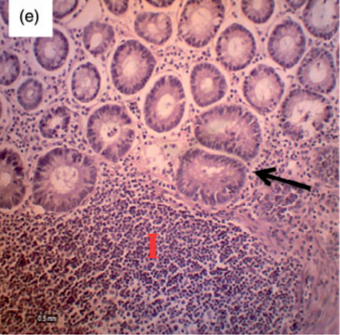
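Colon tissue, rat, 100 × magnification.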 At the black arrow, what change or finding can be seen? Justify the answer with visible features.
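The arrowed crypt is larger than the surrounding crypts. Its lining has crowded, darker nuclei and fewer pale goblet cells.
Hence: Aberrant crypt foci.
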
